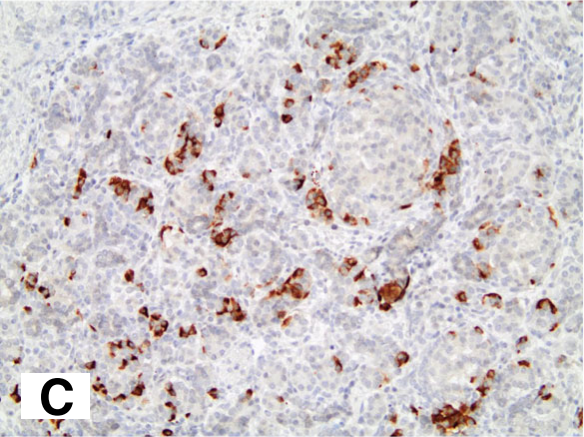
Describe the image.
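Pancreas with pale rounded islets set among densely packed exocrine tissue. Brown-stained cells lie mainly at the margins of the islets, forming incomplete rims. The islet centres are unstained and paler than the surrounding tissue. Scattered small clusters and single brown cells also lie between the exocrine nests. The surrounding cells have small round blue nuclei and unstained cytoplasm.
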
